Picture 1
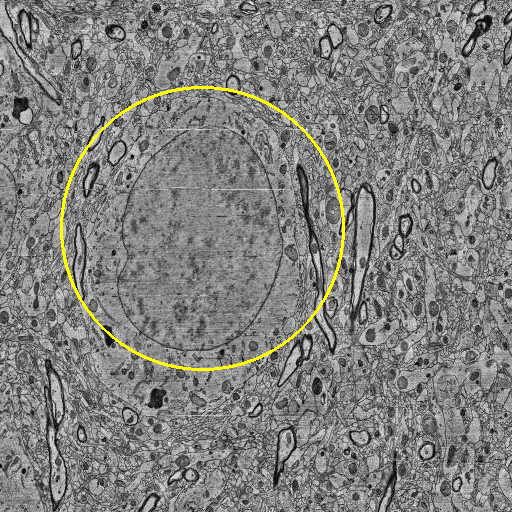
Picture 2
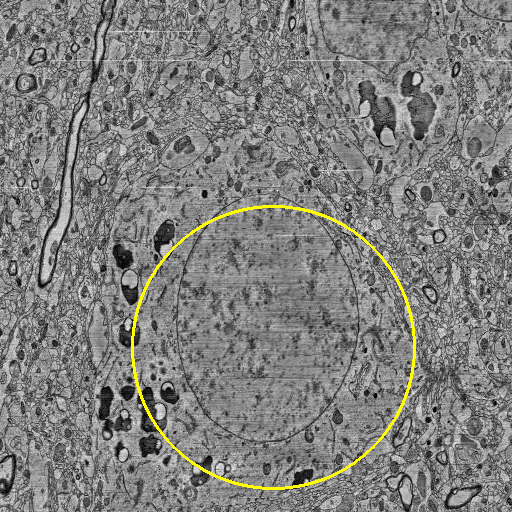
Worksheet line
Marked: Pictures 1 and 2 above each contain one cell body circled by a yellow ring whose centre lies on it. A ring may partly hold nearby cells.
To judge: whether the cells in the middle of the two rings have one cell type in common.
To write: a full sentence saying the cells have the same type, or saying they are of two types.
The cells in the middle of the rings in Picture 1 and Picture 2 have the same type.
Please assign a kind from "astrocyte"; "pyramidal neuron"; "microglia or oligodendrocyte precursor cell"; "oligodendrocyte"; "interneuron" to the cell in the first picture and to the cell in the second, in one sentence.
Both the first and the second picture show a pyramidal neuron in the ring.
